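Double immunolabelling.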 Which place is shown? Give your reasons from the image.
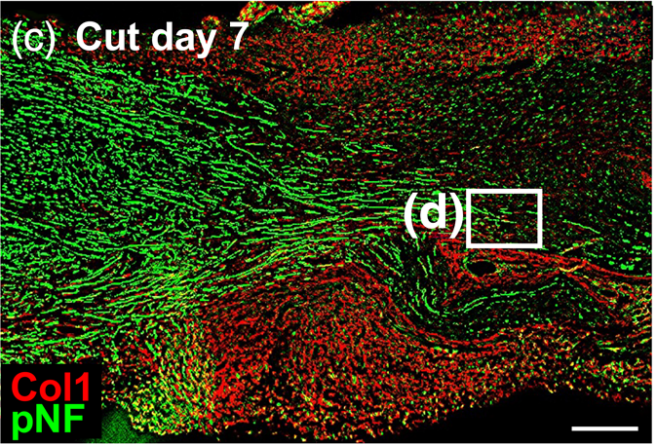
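The orderly lengthwise fibre bundles at left give way to disorganised tissue.
Injury site.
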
